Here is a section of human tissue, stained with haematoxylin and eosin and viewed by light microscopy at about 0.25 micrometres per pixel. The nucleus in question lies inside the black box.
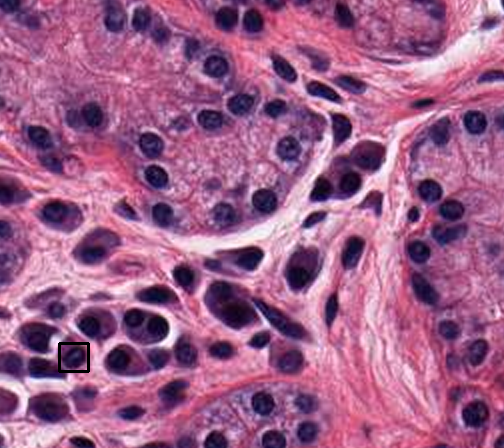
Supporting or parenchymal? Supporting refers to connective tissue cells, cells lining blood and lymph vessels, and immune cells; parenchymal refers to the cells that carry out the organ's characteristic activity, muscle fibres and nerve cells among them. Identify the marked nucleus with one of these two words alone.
supporting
